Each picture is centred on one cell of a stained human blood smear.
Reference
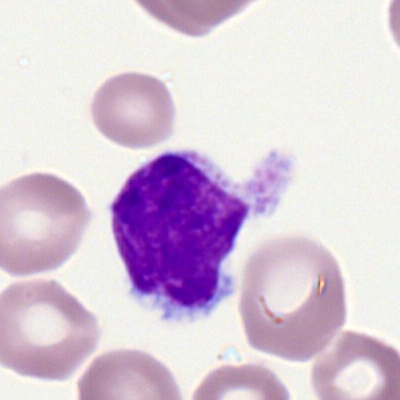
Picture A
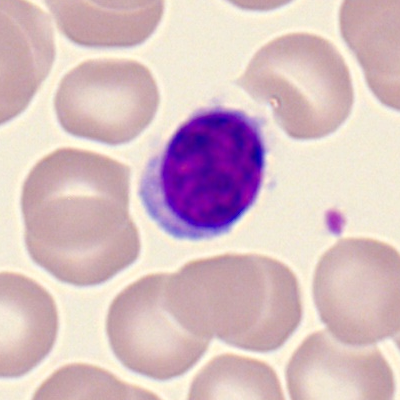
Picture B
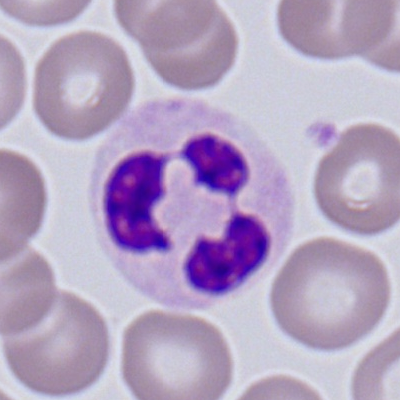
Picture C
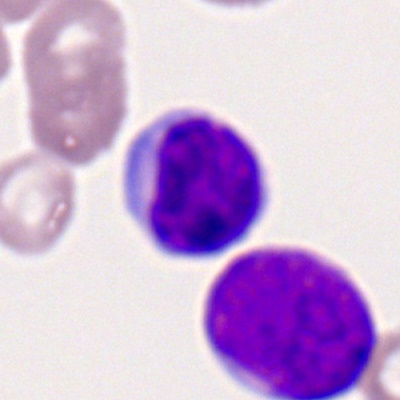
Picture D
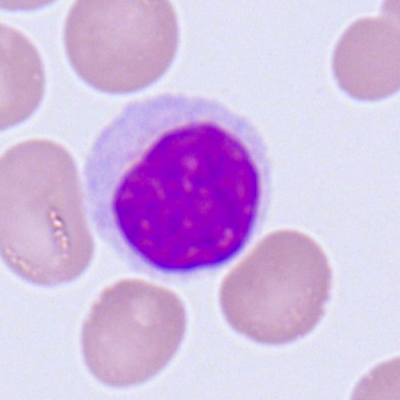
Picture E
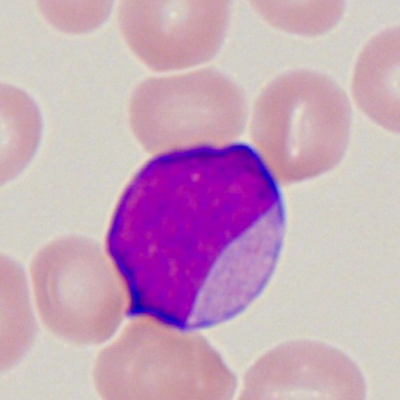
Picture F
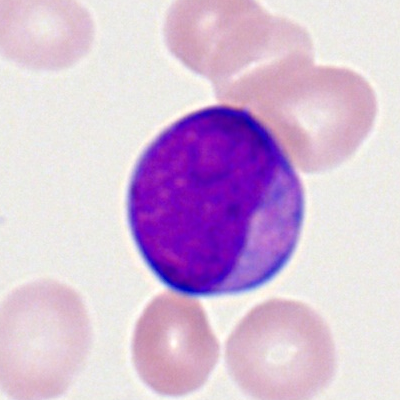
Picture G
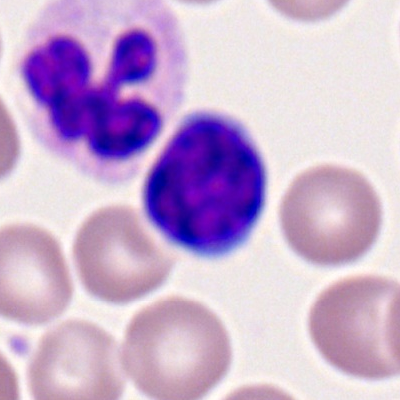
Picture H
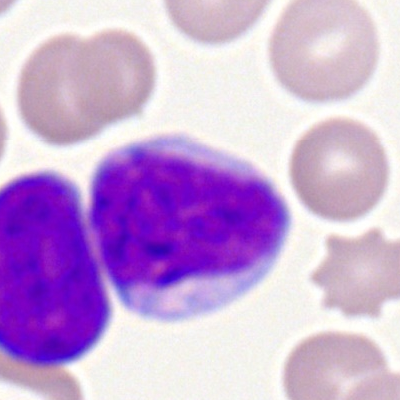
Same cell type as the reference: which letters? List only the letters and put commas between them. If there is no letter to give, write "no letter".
A, C, D, G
